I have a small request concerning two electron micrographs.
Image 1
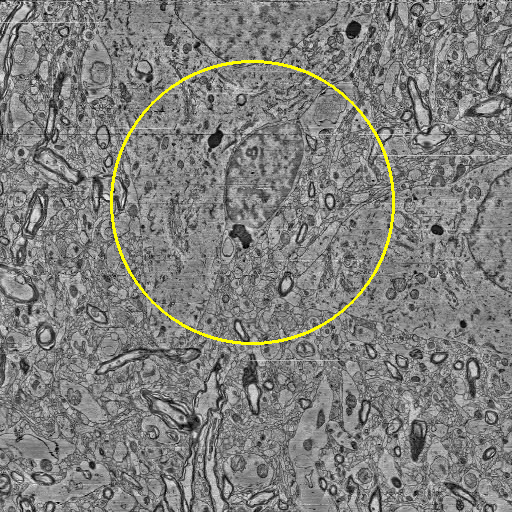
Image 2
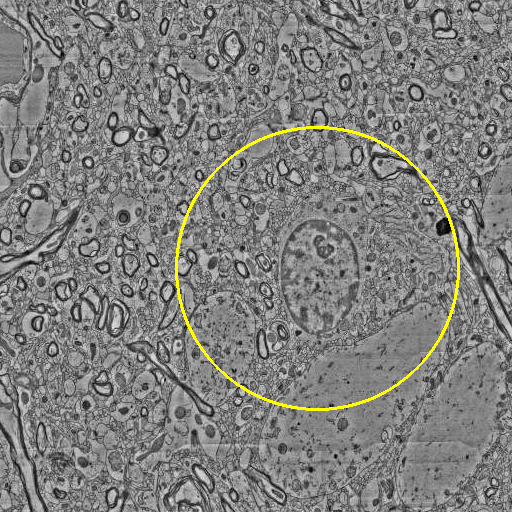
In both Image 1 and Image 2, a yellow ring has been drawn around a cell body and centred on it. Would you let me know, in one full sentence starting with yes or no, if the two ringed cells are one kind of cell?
Yes, the cells ringed in Image 1 and Image 2 are one kind of cell.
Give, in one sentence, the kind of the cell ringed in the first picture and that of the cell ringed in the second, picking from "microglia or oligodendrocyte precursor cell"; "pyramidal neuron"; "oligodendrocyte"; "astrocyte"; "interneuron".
Both cells are the same kind, each one being an oligodendrocyte.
